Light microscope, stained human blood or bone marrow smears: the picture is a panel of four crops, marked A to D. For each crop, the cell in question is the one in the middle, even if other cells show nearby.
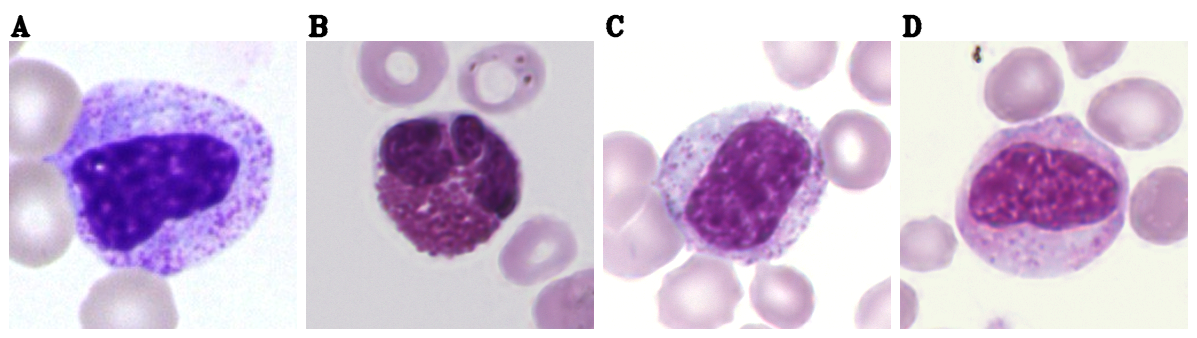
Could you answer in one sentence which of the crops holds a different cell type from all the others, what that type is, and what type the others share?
The remaining crops are all metamyelocytes, so crop B, being an eosinophil, is the exception.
